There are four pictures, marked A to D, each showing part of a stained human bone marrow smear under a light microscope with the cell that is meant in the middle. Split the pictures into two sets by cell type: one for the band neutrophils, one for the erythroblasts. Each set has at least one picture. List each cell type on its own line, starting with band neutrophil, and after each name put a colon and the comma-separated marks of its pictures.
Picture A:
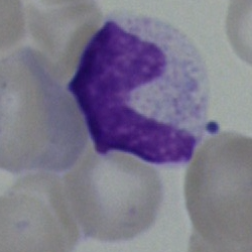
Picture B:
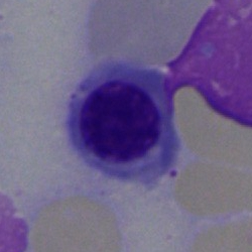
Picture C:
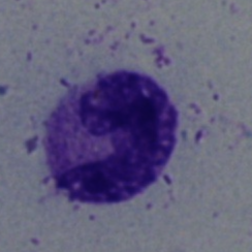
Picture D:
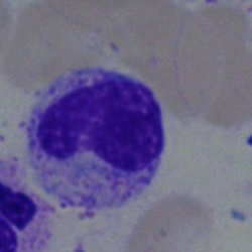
band neutrophil: A, C, D
erythroblast: B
